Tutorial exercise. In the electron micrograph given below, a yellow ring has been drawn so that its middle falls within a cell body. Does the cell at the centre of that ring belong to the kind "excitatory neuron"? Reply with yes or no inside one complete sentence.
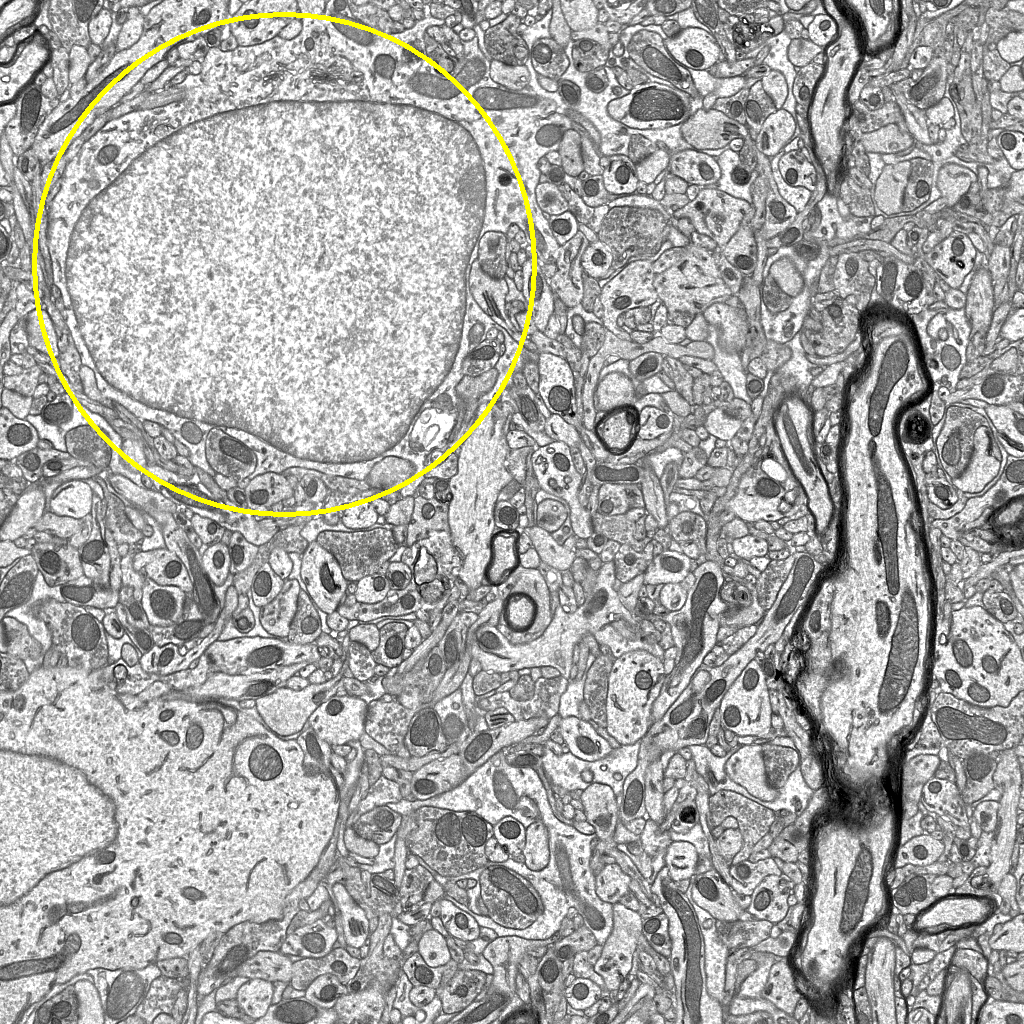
No, the cell at the centre of the ring in the picture is of a different kind.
